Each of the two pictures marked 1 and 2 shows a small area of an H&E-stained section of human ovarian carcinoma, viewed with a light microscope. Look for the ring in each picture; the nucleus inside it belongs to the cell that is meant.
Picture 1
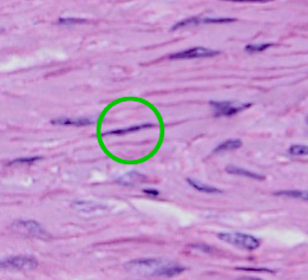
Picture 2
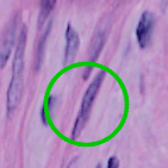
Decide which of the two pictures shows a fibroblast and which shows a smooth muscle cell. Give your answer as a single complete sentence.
Picture 1 shows a fibroblast and picture 2 shows a smooth muscle cell.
